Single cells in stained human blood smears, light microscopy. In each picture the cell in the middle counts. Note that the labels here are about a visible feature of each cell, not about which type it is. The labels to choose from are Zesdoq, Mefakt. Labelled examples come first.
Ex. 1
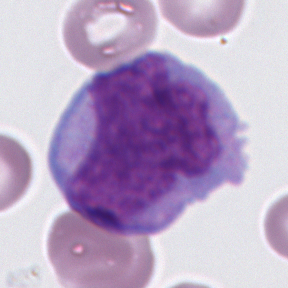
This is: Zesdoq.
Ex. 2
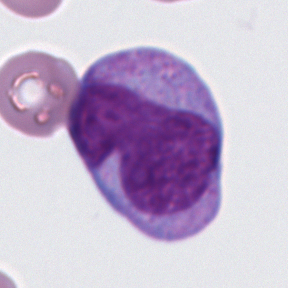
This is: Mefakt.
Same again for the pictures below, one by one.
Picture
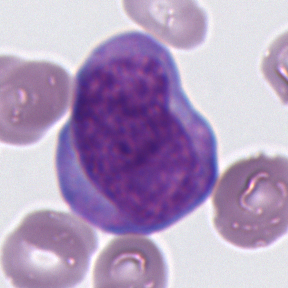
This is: Zesdoq.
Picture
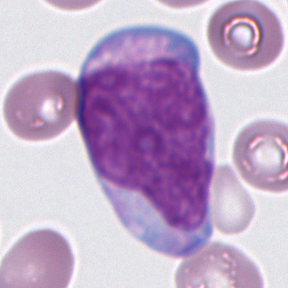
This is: Zesdoq.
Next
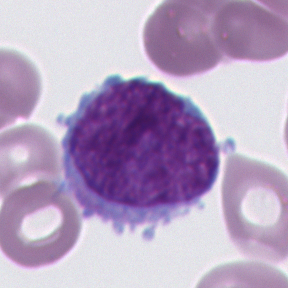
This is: Zesdoq.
